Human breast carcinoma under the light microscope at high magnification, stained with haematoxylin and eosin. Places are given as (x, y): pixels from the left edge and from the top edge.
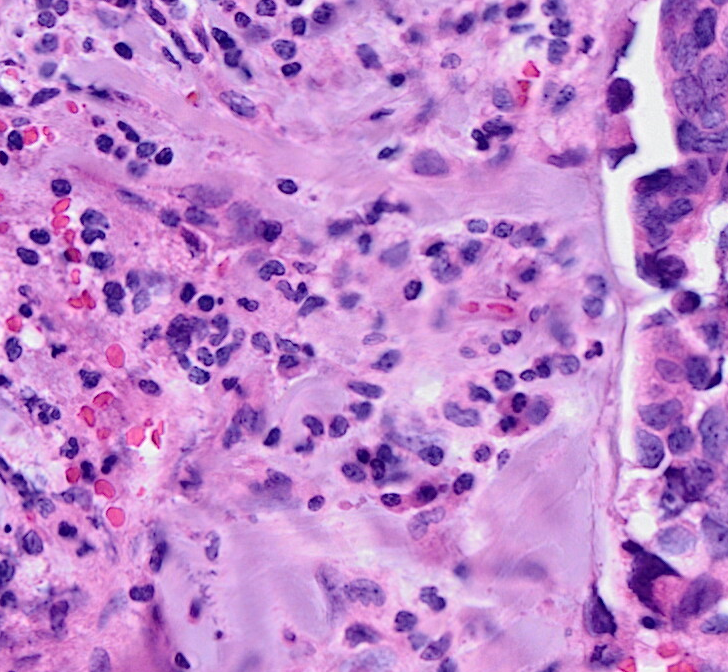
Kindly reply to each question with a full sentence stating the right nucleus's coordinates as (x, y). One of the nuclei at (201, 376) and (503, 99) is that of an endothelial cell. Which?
Of the two nuclei, the nucleus of an endothelial cell is at (503, 99).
